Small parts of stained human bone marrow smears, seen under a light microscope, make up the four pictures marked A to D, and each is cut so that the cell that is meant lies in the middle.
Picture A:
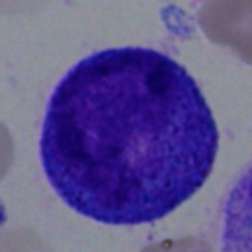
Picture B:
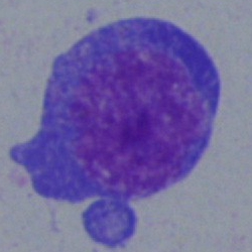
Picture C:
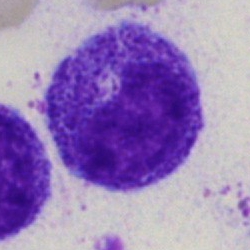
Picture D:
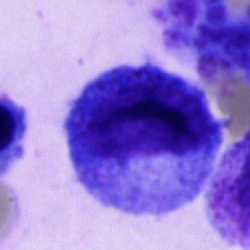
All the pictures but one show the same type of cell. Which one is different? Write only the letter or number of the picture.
B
